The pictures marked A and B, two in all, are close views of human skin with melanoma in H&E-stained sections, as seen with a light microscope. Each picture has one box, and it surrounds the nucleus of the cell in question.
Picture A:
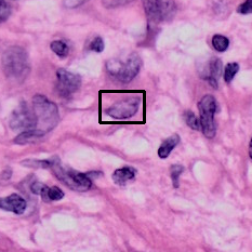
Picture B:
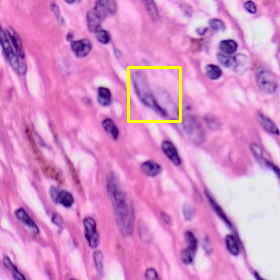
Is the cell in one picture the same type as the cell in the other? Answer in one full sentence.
Yes, the two pictures both show endothelial cells.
